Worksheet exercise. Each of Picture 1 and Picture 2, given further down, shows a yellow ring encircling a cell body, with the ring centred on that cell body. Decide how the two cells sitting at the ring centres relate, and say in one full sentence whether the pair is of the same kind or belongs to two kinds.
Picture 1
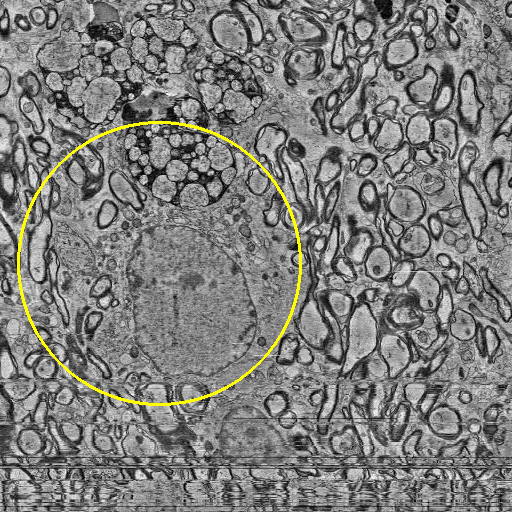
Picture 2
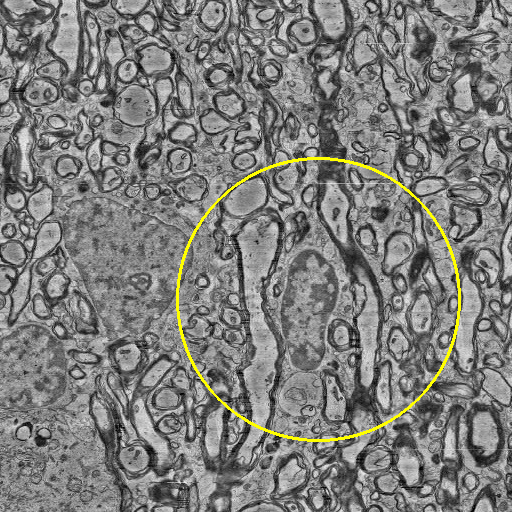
The cells at the ring centres in Picture 1 and Picture 2 belong to two kinds.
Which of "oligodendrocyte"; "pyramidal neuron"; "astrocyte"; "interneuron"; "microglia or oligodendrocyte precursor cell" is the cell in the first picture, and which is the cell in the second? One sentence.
The two differ: the first cell is an astrocyte and the second is a microglial cell or oligodendrocyte precursor cell.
